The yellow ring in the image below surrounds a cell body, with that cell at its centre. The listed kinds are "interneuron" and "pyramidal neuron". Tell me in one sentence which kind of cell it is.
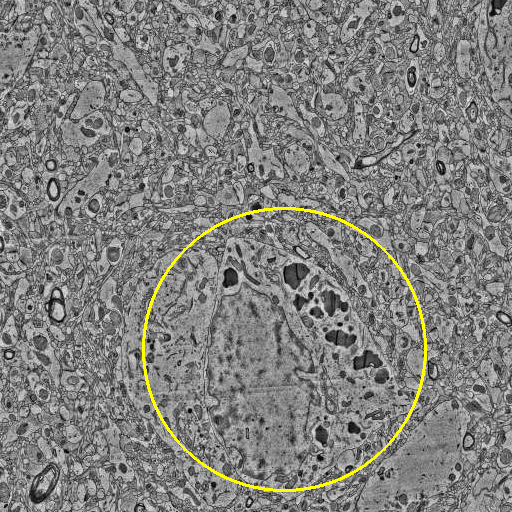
The centre of the ring holds an interneuron.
